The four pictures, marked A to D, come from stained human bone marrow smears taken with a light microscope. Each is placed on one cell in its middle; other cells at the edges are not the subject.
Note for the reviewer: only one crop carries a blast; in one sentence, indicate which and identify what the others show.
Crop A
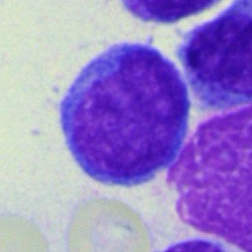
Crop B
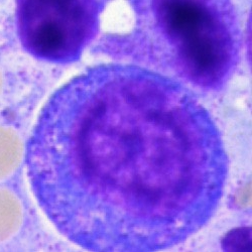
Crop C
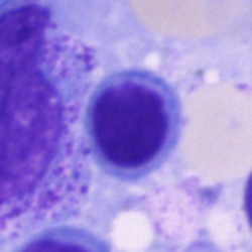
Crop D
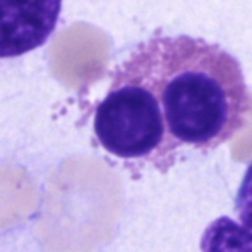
The middle of crop A is occupied by a blast, while crop B is a promyelocyte, crop C is an erythroblast and crop D is an eosinophil.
